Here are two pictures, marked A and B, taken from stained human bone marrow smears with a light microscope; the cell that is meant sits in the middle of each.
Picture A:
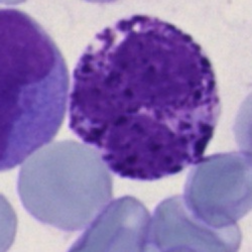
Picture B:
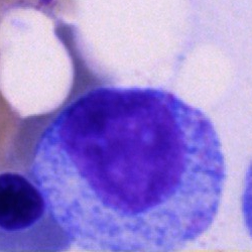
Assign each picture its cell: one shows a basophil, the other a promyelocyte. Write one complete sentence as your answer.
Picture A shows a basophil and picture B shows a promyelocyte.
